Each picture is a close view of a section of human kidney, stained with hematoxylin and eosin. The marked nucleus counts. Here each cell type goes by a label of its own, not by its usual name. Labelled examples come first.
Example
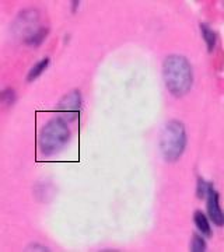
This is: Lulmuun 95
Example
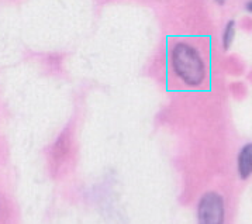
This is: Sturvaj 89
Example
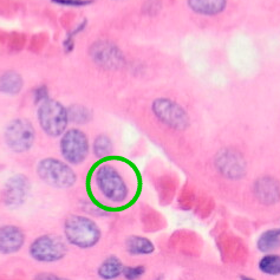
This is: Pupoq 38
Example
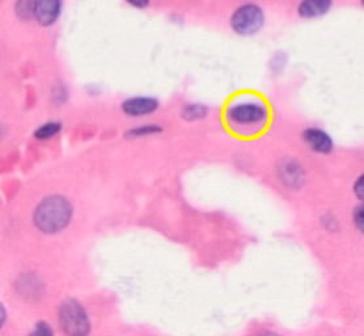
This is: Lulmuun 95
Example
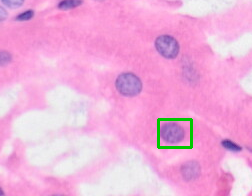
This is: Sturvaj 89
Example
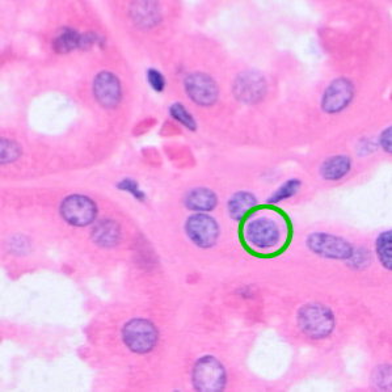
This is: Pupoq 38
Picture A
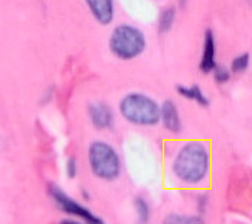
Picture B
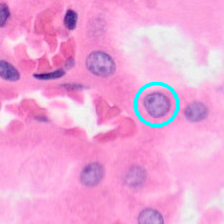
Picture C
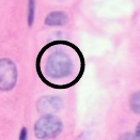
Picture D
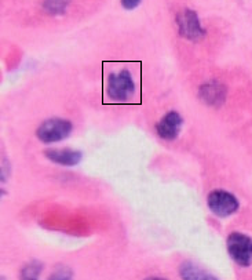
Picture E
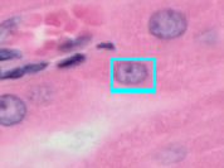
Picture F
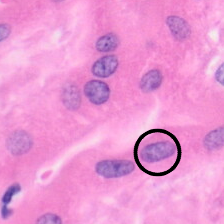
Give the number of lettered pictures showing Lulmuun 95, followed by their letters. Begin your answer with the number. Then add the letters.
1: D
